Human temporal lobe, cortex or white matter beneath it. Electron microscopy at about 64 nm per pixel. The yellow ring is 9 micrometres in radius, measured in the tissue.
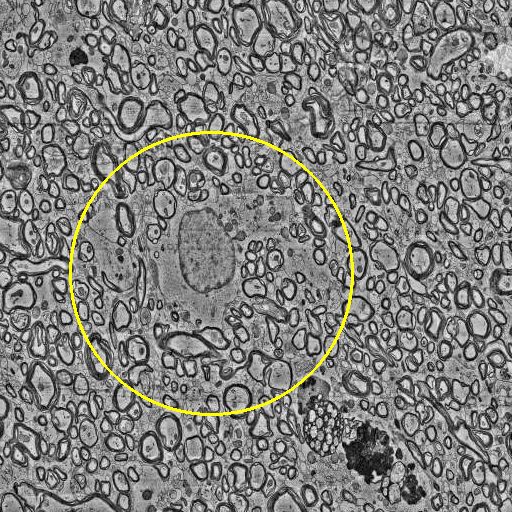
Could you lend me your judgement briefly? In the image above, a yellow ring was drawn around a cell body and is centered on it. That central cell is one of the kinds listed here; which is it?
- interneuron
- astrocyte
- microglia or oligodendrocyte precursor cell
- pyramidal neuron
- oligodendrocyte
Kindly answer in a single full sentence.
Going by the list, an astrocyte is the kind at the ring's center in the picture.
